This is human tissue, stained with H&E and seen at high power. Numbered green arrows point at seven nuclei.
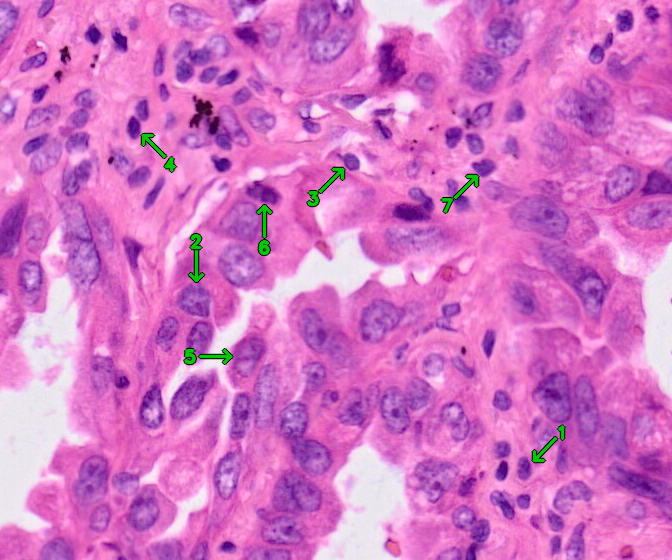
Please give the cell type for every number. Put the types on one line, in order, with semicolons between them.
lymphocyte; carcinoma cell; lymphocyte; lymphocyte; carcinoma cell; carcinoma cell; lymphocyte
